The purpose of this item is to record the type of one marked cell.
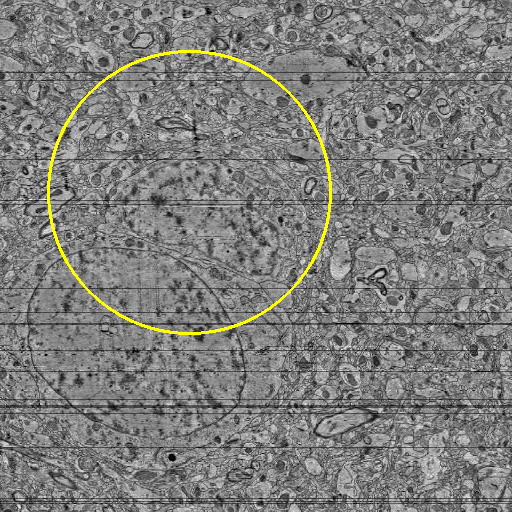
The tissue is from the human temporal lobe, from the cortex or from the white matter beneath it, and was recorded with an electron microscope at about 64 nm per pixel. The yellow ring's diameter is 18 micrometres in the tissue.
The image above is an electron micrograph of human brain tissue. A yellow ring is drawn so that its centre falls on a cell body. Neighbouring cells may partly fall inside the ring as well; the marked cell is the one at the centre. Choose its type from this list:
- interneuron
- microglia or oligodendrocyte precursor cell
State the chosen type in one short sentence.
What the ring marks here is an interneuron.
